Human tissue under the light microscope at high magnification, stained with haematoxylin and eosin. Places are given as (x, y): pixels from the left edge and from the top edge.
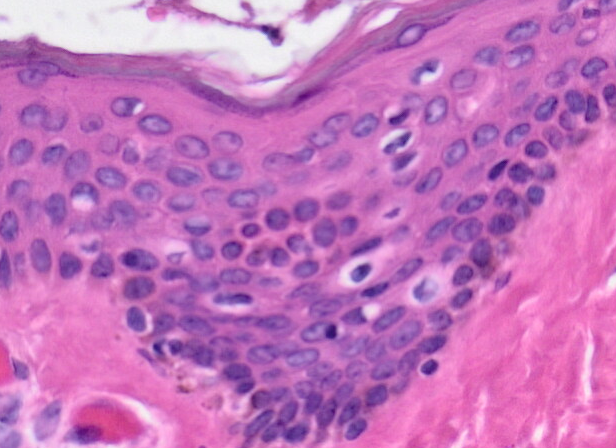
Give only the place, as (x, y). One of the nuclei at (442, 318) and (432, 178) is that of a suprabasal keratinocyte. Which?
(432, 178)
